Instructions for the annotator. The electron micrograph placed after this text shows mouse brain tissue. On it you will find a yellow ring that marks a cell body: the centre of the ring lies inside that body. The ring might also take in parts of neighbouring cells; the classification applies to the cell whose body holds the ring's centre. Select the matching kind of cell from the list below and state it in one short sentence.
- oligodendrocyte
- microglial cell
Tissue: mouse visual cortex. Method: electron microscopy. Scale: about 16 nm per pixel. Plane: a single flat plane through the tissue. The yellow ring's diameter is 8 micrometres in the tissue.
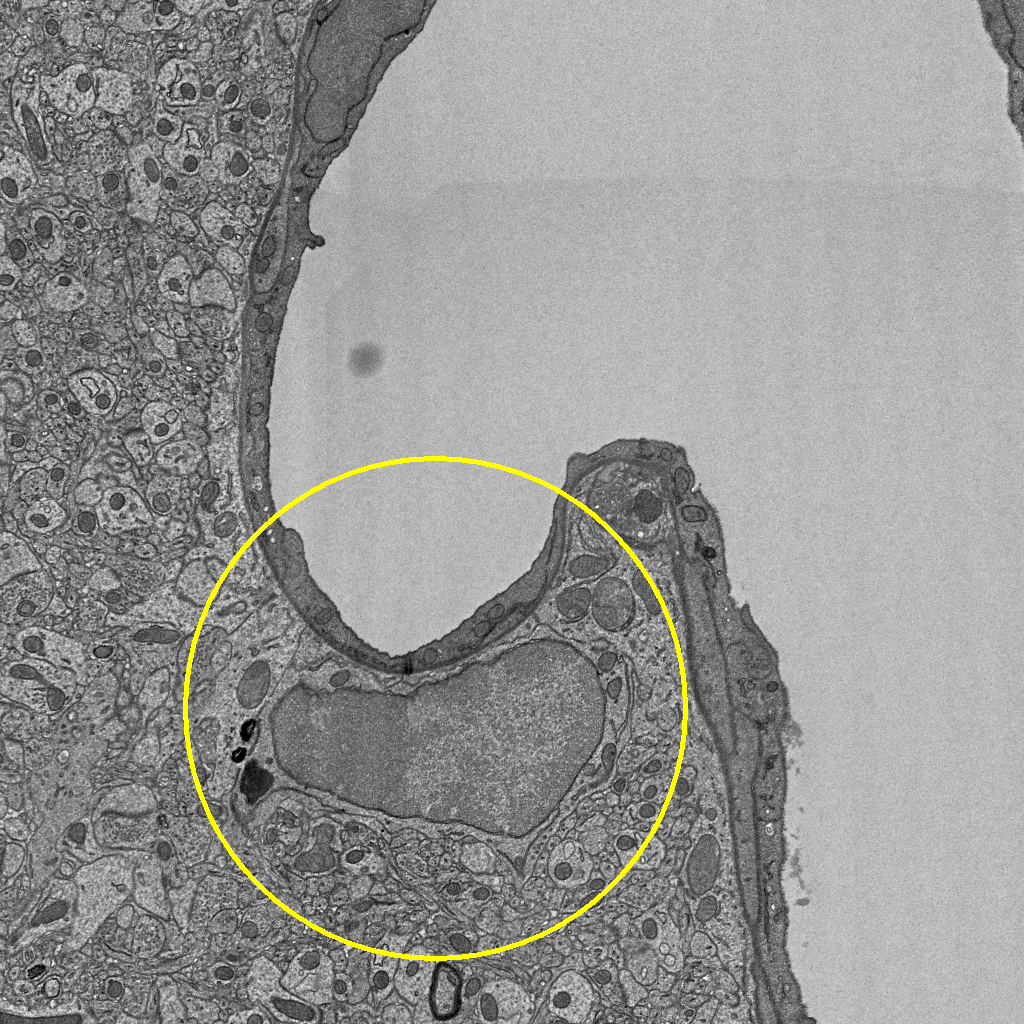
The centre of the ring lies in the cell body of a microglial cell.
